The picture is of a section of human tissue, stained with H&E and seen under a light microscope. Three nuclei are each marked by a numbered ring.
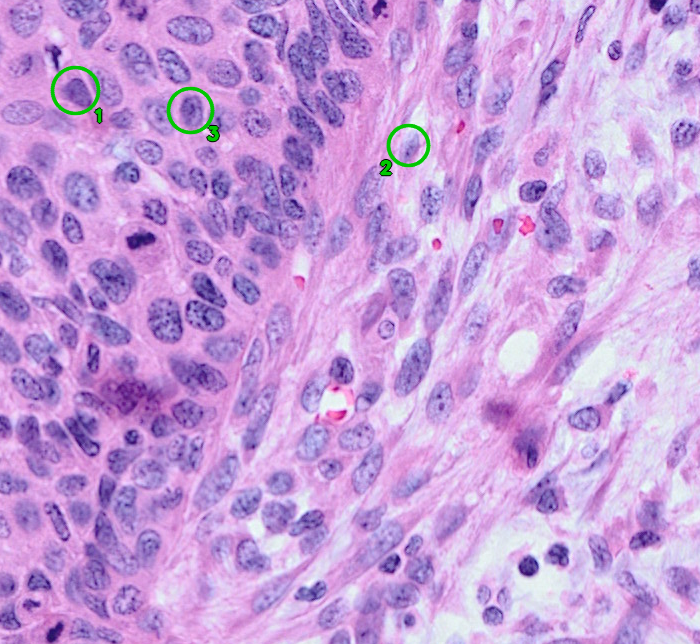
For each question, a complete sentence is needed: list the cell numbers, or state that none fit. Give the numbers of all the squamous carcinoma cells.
Cells 1 and 3 are of one type, namely squamous carcinoma cells.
